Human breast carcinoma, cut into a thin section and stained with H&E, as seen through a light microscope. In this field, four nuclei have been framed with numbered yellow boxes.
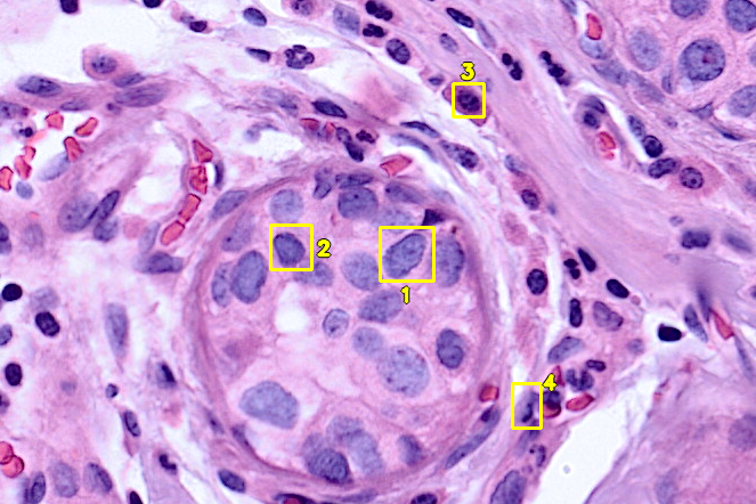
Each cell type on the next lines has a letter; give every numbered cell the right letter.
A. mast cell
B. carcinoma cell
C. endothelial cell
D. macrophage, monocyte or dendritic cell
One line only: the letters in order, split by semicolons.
B; B; A; C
